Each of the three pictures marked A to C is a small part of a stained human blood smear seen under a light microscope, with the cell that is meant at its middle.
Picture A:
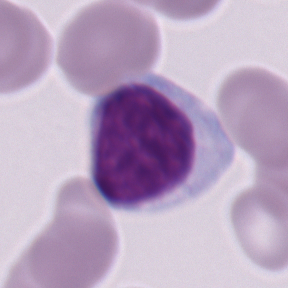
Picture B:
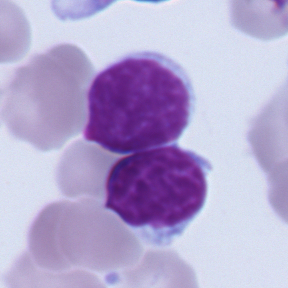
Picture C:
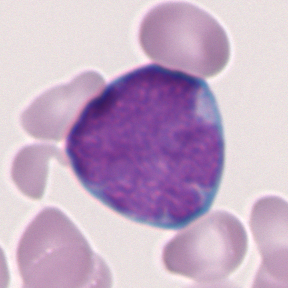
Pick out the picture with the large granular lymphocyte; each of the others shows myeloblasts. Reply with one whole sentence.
The cell in picture A is the large granular lymphocyte.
